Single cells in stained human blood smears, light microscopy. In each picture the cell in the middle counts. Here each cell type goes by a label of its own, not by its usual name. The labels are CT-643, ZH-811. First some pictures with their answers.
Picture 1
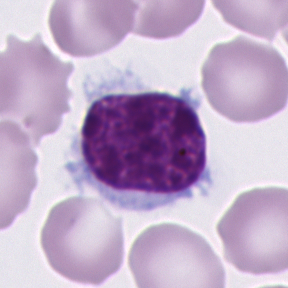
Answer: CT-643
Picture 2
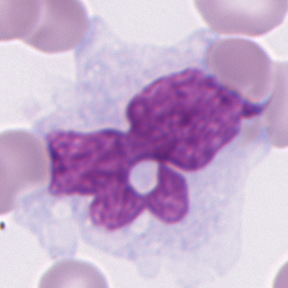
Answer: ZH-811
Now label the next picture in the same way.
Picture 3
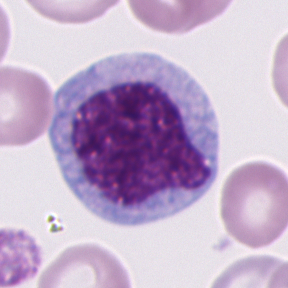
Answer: ZH-811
